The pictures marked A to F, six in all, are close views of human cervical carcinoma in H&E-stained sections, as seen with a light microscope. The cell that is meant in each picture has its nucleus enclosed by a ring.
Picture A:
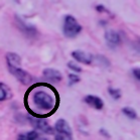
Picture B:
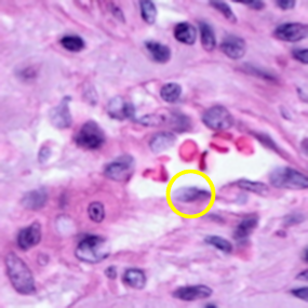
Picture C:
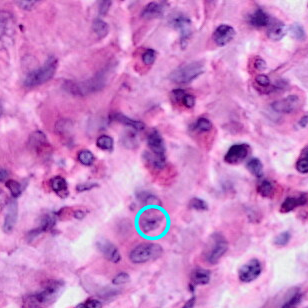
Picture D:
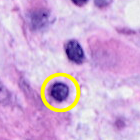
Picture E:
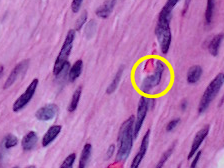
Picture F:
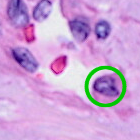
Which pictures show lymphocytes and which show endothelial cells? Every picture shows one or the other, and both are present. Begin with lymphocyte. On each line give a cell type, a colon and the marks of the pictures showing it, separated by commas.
lymphocyte: A, D
endothelial cell: B, C, E, F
